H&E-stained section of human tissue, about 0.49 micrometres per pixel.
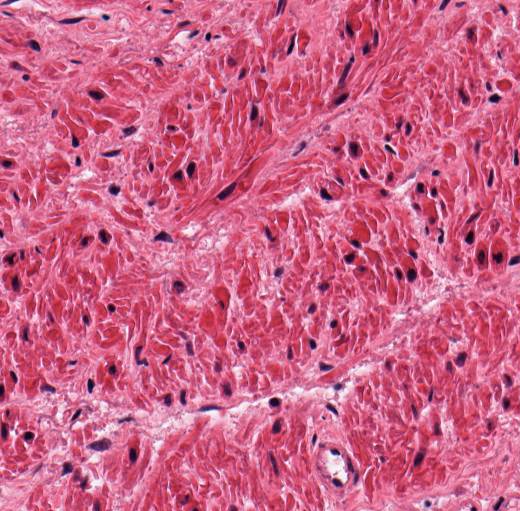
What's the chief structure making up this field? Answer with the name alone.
fibromuscular stroma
